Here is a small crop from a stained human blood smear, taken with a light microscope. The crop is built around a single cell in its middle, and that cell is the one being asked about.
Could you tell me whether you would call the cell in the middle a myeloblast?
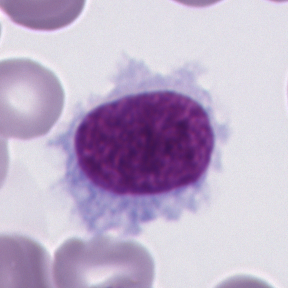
no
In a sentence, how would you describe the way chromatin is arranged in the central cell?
The nuclear chromatin is fine, showing no coarse aggregates.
